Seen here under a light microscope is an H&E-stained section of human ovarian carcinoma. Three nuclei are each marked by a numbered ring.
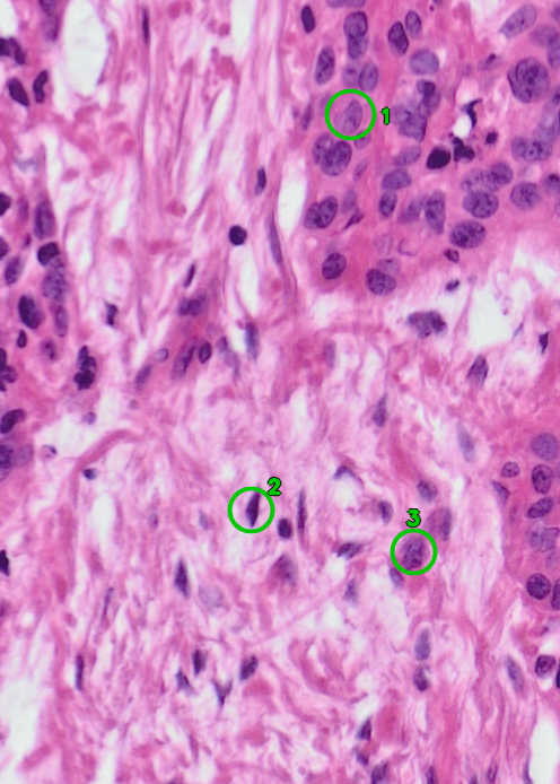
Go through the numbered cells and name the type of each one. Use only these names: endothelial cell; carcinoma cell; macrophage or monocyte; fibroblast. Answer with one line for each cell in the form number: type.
1: carcinoma cell
2: fibroblast
3: endothelial cell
